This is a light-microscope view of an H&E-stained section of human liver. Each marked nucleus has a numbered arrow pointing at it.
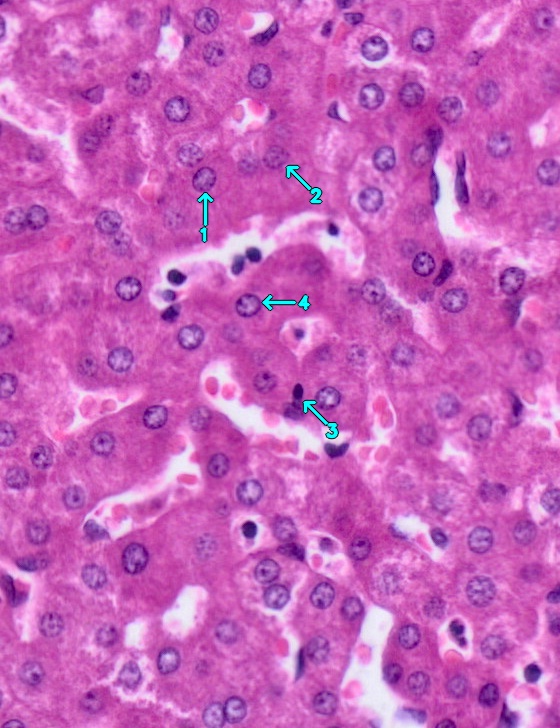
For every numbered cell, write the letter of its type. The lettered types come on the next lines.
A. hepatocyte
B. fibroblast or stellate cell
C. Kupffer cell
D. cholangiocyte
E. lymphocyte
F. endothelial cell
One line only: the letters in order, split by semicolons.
A; A; B; A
